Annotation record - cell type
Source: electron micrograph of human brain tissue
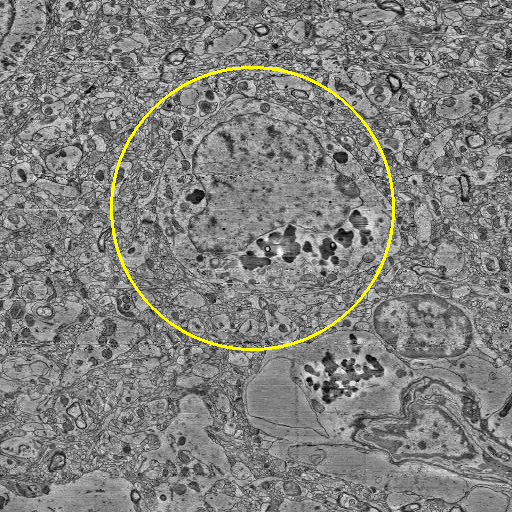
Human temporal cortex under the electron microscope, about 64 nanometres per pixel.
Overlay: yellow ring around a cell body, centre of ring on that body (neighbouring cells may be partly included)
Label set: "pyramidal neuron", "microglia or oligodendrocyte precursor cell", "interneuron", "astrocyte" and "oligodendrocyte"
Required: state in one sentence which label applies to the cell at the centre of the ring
This cell should be labelled as an interneuron.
